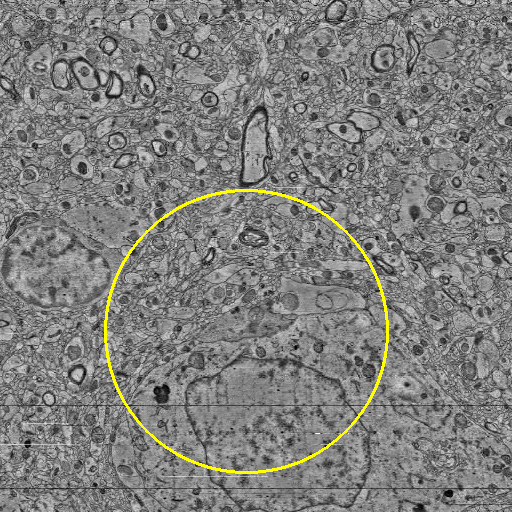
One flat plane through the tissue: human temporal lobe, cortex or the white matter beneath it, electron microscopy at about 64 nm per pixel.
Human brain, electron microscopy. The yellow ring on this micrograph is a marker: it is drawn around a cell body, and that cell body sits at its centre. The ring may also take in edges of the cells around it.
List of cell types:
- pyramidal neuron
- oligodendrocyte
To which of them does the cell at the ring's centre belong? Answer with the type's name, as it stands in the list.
oligodendrocyte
